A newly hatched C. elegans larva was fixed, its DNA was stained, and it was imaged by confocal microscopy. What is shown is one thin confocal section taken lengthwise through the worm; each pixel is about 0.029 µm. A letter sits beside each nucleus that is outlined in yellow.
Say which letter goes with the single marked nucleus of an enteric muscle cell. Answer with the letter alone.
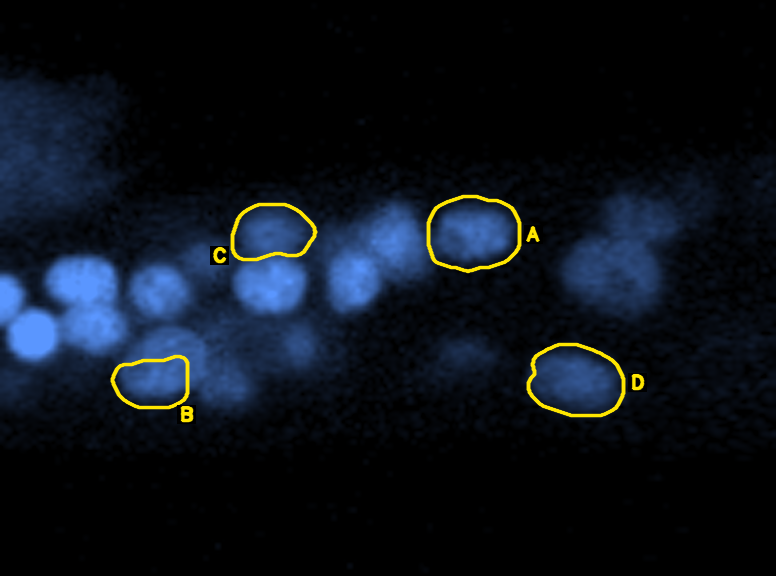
A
